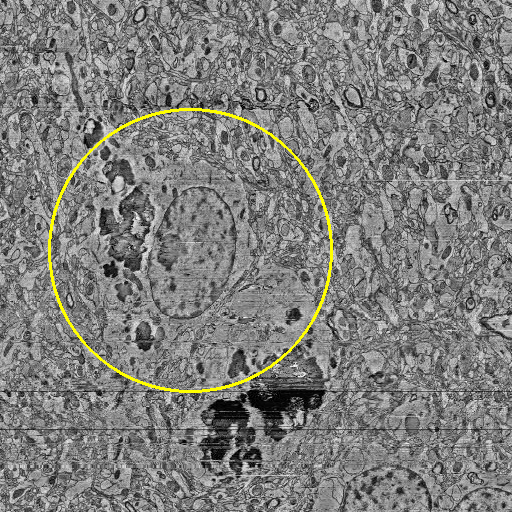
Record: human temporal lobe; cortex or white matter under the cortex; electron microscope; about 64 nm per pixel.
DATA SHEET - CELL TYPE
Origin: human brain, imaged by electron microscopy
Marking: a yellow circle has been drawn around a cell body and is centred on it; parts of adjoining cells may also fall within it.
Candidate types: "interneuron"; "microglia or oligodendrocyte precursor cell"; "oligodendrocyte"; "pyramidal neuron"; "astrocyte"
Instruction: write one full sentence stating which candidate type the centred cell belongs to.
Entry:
The cell body at the centre of the yellow ring in this micrograph belongs to an astrocyte.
